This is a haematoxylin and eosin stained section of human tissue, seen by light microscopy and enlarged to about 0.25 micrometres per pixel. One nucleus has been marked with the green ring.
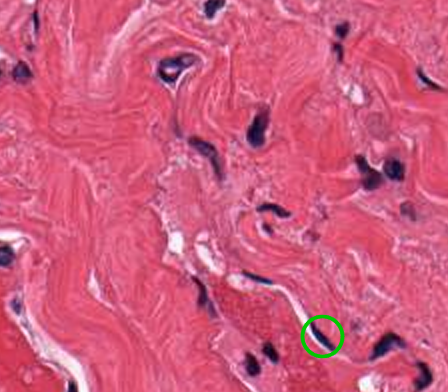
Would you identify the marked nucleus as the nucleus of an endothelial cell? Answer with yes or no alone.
yes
